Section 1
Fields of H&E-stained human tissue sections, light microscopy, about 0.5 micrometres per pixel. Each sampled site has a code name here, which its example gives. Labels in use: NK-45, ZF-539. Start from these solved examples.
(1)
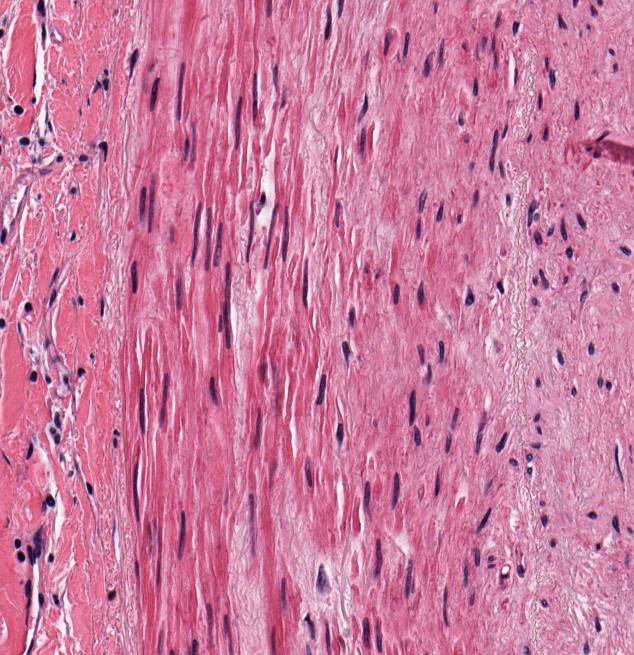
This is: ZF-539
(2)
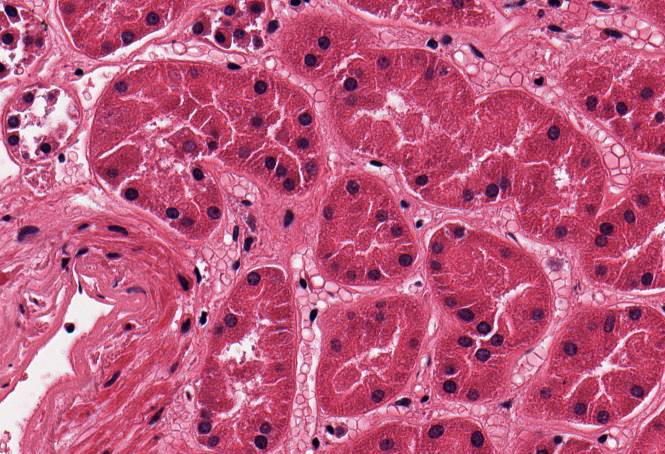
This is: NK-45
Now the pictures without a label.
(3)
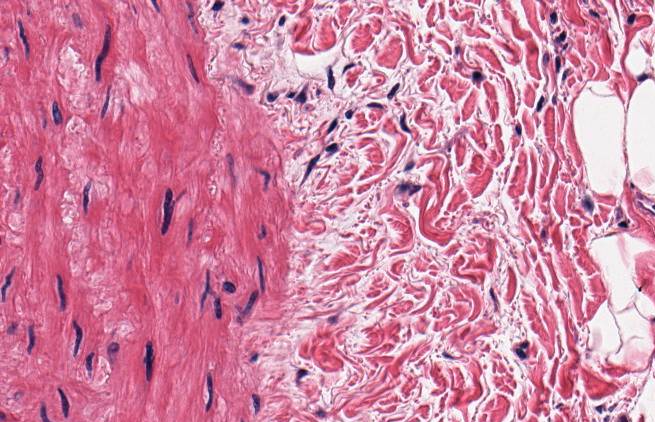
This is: ZF-539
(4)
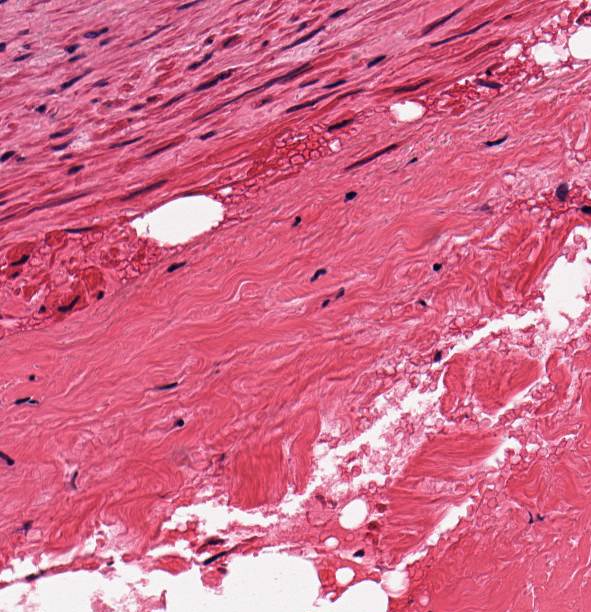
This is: ZF-539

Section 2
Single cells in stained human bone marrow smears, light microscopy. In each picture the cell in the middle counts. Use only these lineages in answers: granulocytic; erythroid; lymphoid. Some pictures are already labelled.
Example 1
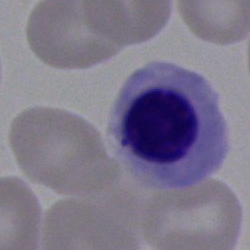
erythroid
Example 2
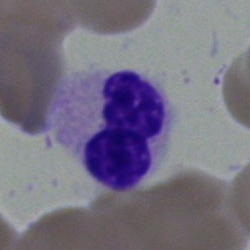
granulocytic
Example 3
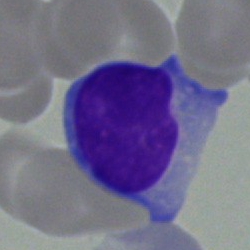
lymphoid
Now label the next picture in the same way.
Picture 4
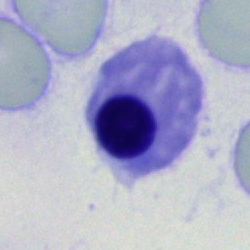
erythroid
